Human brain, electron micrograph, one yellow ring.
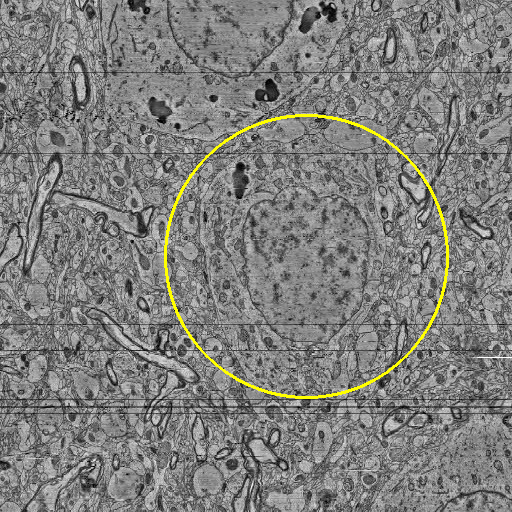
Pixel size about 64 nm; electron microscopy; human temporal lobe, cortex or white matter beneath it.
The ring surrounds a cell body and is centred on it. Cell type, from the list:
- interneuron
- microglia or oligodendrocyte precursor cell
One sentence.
The yellow ring circles an interneuron.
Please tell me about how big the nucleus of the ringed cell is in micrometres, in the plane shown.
The ringed cell's nucleus is about 10 micrometres long and 8 micrometres wide in this plane.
